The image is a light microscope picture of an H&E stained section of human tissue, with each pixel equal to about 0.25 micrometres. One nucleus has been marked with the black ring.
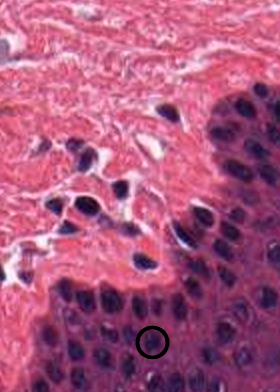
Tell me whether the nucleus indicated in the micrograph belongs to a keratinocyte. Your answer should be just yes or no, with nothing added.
yes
